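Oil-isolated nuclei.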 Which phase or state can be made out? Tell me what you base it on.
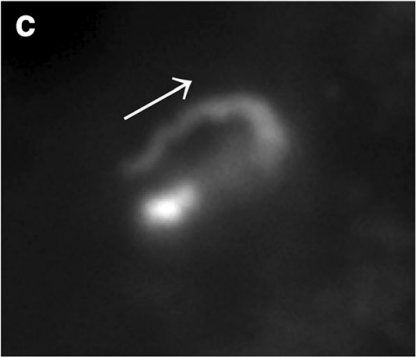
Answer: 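A faint, thin fluorescent strand arches over. The strand becomes thicker and brighter toward one end, ending in a bright blob. On this evidence: “thin-thick” morphology.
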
